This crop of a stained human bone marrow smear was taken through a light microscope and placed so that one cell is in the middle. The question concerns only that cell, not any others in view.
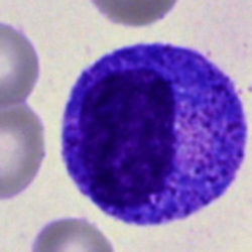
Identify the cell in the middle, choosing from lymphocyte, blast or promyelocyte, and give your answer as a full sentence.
To answer, the cell in the center of the crop is a promyelocyte.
